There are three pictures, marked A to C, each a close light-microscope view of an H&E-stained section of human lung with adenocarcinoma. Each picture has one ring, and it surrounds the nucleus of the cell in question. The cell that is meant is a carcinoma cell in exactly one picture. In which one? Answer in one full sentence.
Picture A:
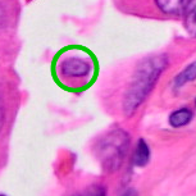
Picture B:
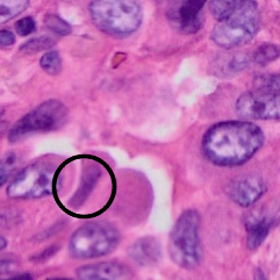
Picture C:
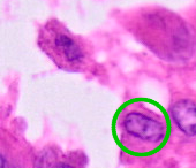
The cell in picture B is the carcinoma cell.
